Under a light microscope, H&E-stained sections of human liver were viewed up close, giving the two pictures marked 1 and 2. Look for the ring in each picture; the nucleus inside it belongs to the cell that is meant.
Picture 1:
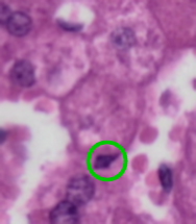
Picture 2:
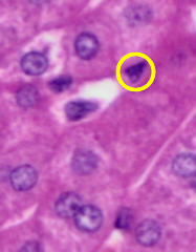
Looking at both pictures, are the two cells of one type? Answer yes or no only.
yes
